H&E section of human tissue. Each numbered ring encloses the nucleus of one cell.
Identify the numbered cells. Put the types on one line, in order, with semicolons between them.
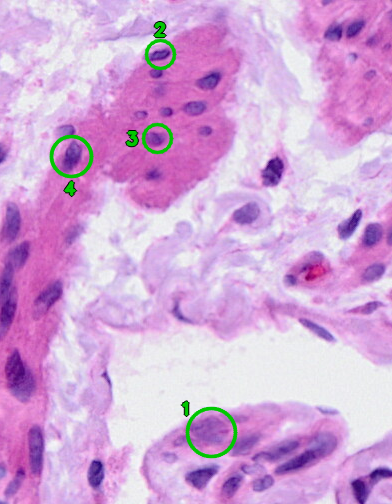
endothelial cell; smooth muscle cell; smooth muscle cell; smooth muscle cell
